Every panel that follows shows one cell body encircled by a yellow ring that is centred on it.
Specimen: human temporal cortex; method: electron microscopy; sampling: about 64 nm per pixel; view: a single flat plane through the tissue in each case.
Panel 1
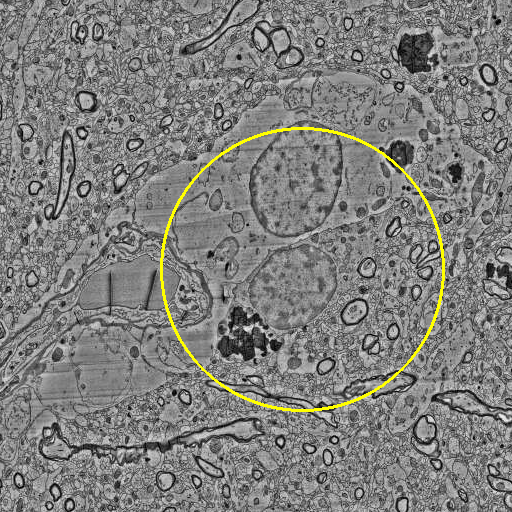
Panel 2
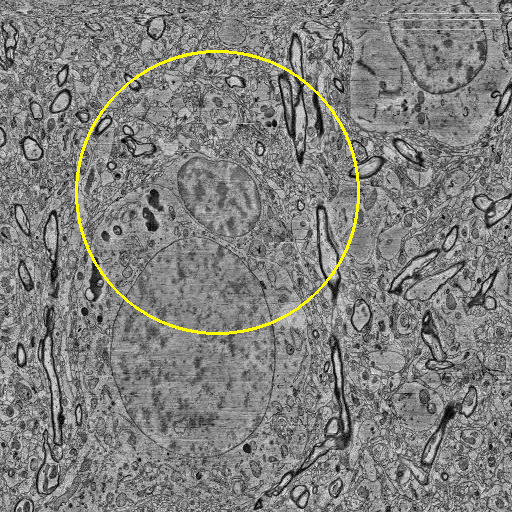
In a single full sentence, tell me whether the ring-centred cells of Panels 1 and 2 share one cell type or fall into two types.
In Panel 1 and Panel 2, the cells at the ring centres share one cell type.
